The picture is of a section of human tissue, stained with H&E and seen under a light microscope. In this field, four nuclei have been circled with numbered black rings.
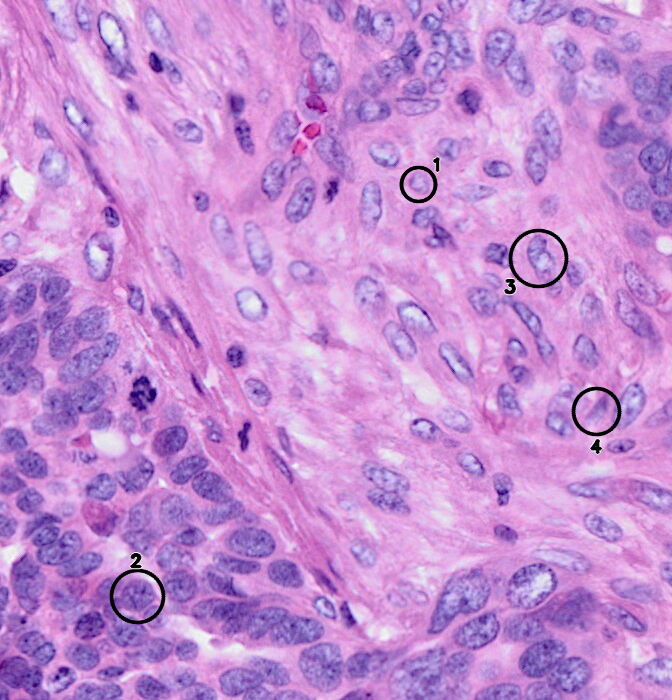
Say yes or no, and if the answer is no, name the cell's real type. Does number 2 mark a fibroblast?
No, it is a carcinoma cell.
